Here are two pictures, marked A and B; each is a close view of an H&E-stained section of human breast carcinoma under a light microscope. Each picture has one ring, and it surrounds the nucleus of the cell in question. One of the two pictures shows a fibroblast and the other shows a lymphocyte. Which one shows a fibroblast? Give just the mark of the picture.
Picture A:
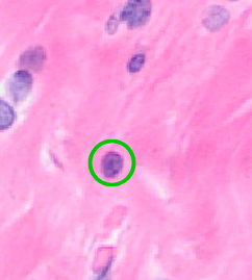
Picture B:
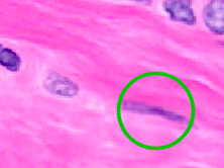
B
